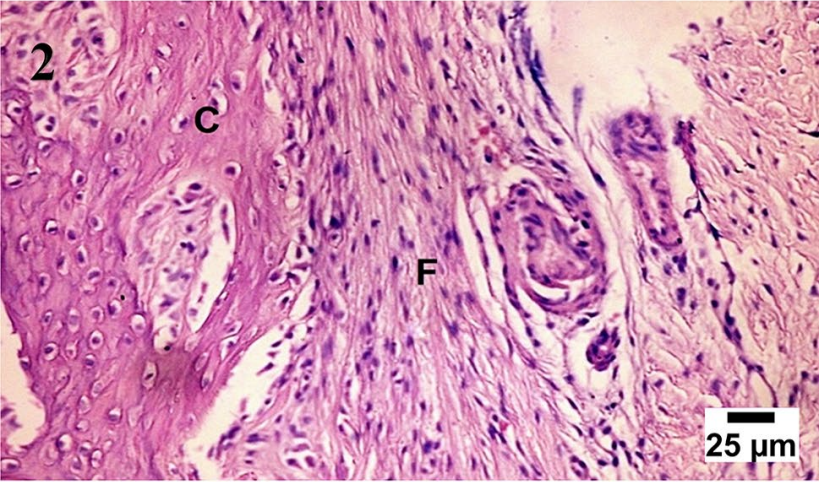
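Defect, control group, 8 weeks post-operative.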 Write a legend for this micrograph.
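On the left, a homogeneous pink matrix holds rounded chondrocytes lying singly in clear lacunae, with small round nuclei. In the middle, fibrous tissue runs in dense parallel bundles with many elongated, dark, spindle-shaped nuclei aligned along the fibres. Small blood vessels with surrounding cells lie within the fibrous region, and a vascular space with cells is enclosed within the cartilage. Towards the right edge the tissue becomes looser and paler.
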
